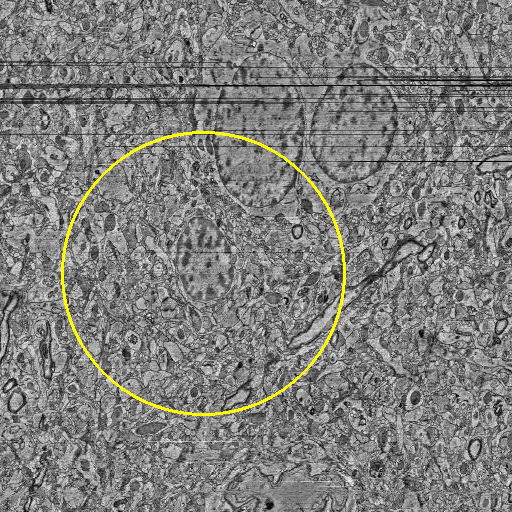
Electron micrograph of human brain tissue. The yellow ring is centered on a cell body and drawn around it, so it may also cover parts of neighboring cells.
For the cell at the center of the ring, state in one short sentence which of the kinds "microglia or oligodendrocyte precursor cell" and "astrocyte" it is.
This ring is centered on a microglial cell or oligodendrocyte precursor cell.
